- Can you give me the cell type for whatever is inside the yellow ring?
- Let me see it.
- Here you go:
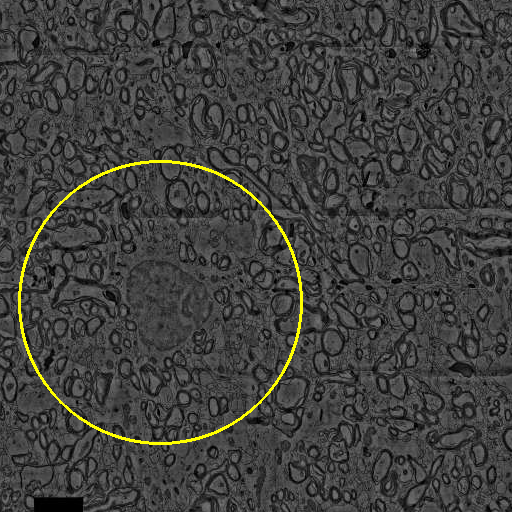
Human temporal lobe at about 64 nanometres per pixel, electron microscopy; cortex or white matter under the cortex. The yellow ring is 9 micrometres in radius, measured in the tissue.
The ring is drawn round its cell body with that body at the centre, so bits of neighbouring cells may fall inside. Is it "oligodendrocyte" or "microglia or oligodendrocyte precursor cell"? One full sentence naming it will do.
The cell body in the middle of the ring in this picture belongs to an oligodendrocyte.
